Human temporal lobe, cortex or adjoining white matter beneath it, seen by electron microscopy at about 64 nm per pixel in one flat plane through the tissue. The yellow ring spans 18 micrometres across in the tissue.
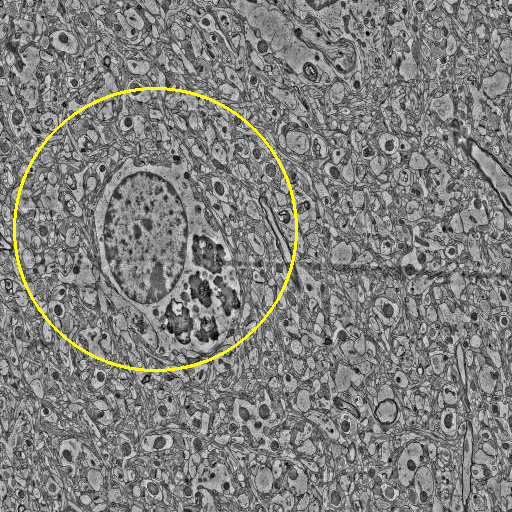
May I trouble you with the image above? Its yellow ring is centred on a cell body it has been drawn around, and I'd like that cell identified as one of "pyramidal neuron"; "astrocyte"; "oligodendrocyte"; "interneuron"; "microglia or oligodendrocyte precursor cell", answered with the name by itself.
astrocyte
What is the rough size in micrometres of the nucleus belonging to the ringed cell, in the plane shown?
In this plane the nucleus is clearly longer than it is wide, at approximately 8 by 5 micrometres.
